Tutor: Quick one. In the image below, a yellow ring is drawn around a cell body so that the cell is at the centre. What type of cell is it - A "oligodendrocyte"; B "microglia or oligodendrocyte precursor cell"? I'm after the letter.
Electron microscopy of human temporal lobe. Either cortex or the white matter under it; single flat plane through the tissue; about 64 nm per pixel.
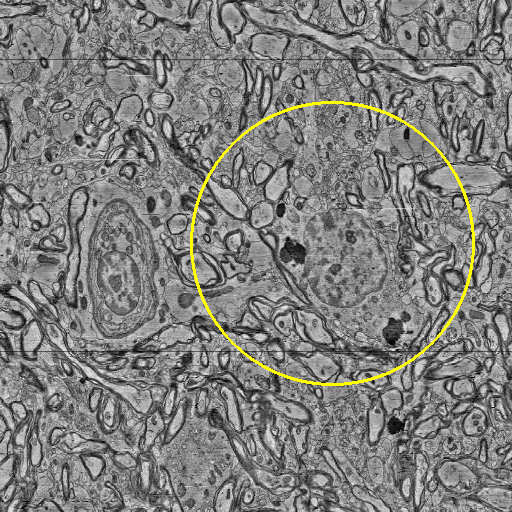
A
